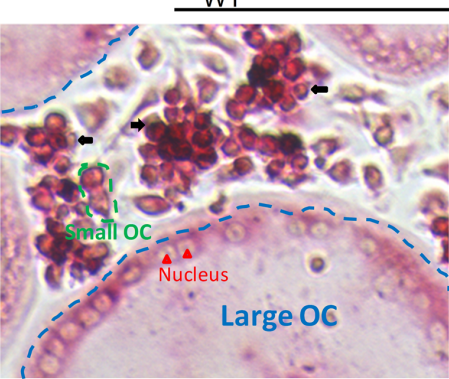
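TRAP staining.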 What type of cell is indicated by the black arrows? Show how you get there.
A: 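Mononuclear cells. The arrows point at clusters of small round cells. The marked cells are much smaller than the large pale cell below.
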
